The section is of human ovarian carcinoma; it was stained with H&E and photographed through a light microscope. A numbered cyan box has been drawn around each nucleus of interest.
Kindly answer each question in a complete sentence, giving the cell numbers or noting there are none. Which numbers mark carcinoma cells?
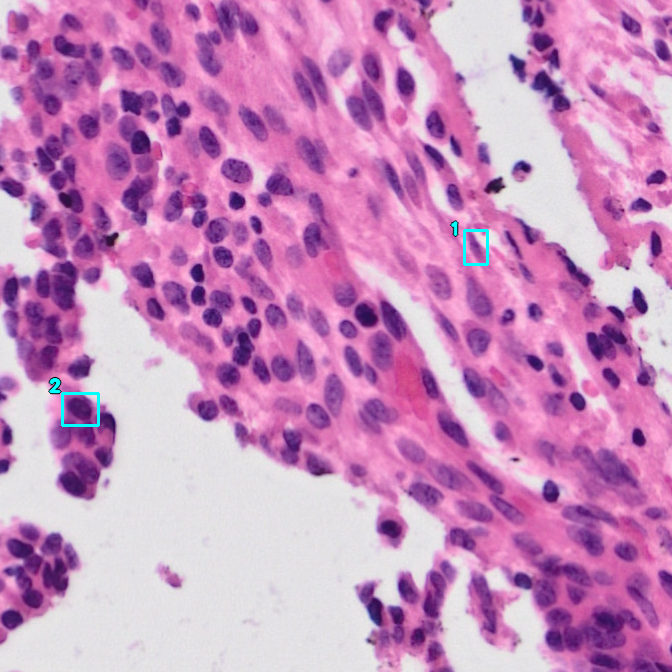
Cell 2 is a carcinoma cell; no further numbered cell is.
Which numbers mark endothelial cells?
The correct answer is that none of the numbered cells are endothelial cells.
